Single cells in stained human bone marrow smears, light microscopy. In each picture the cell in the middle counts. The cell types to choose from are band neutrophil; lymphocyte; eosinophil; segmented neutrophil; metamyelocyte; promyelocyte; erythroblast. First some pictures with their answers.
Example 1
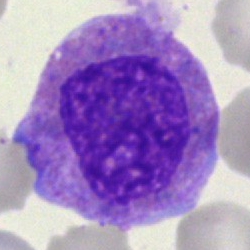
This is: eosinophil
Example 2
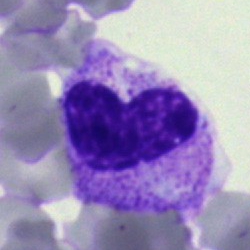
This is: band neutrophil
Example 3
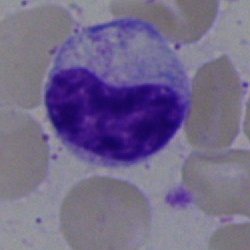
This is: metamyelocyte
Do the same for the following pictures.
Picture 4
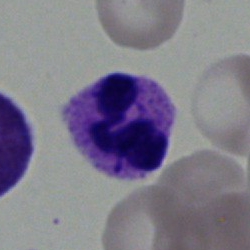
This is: segmented neutrophil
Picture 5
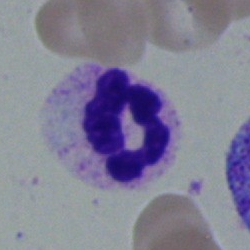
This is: segmented neutrophil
